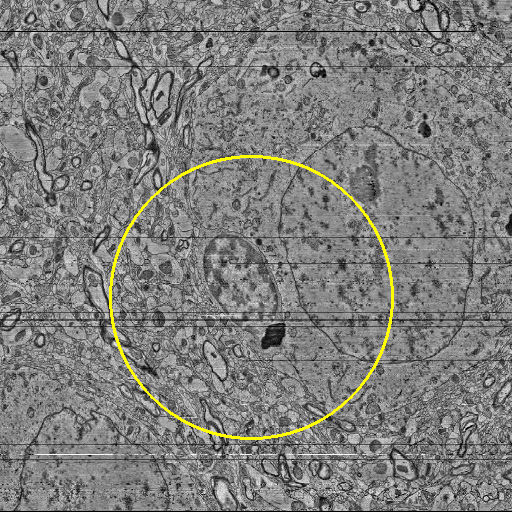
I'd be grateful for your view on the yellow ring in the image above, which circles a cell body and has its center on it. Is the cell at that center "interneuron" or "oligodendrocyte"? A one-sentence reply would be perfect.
The cell at the center of the yellow ring is an oligodendrocyte.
